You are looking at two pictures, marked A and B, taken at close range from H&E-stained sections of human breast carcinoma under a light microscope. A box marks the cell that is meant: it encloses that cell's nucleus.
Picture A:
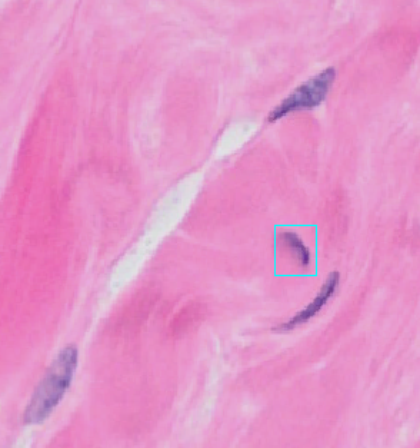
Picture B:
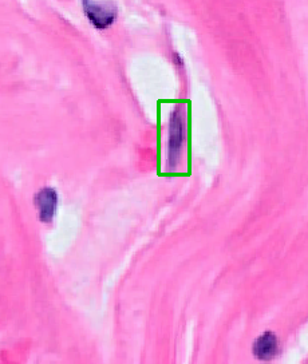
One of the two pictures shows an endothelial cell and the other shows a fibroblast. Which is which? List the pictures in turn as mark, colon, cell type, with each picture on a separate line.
A: fibroblast
B: endothelial cell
